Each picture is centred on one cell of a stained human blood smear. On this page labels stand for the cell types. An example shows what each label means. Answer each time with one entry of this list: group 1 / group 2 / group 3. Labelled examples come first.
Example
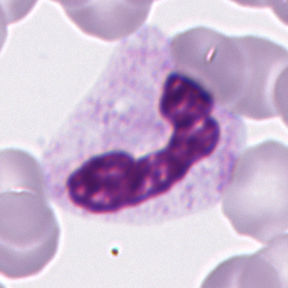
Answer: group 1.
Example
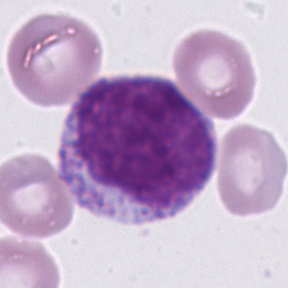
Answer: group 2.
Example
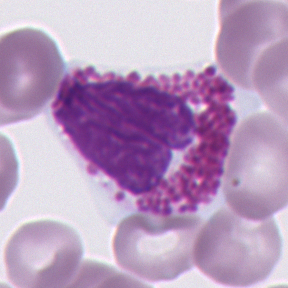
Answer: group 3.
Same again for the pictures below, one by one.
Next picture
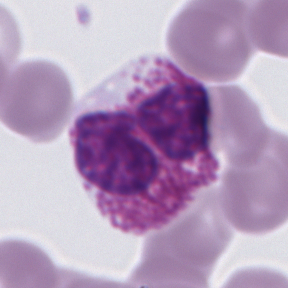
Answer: group 3.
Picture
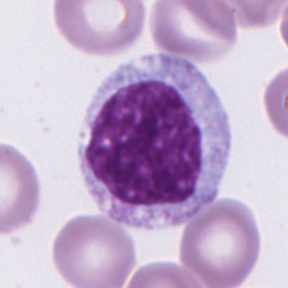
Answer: group 2.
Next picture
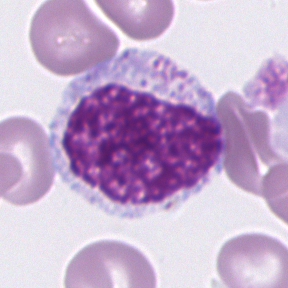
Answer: group 2.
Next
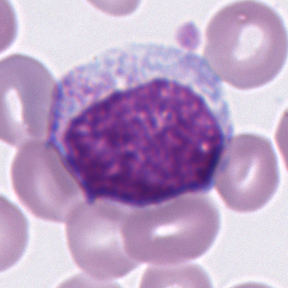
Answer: group 2.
